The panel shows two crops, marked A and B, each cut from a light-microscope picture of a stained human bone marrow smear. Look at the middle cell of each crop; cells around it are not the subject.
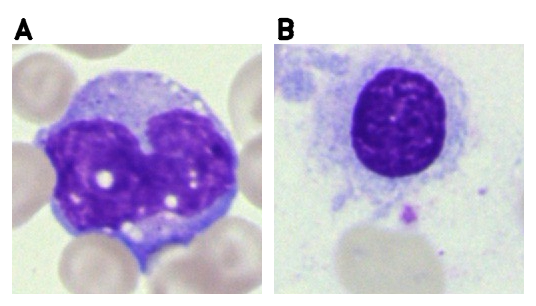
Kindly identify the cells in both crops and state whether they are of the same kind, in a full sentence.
No, the cell of interest in crop A is a monocyte, and in crop B it is a hairy cell.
